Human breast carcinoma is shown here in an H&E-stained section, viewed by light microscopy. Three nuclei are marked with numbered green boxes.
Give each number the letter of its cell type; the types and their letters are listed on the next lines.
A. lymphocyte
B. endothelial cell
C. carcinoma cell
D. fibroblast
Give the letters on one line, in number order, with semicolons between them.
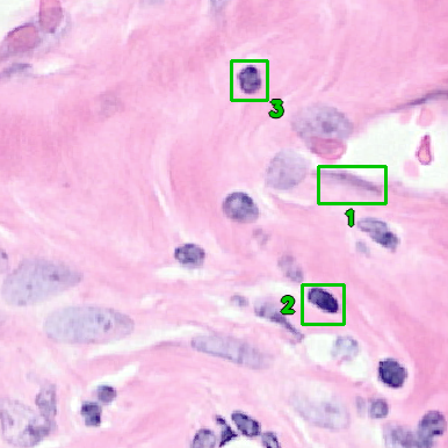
B; A; A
